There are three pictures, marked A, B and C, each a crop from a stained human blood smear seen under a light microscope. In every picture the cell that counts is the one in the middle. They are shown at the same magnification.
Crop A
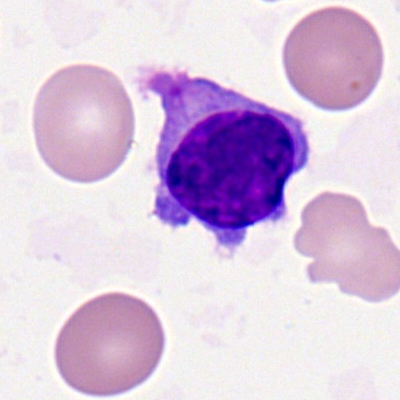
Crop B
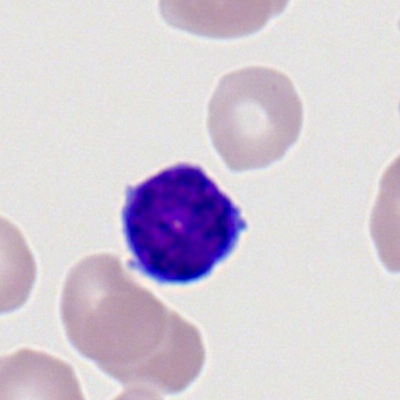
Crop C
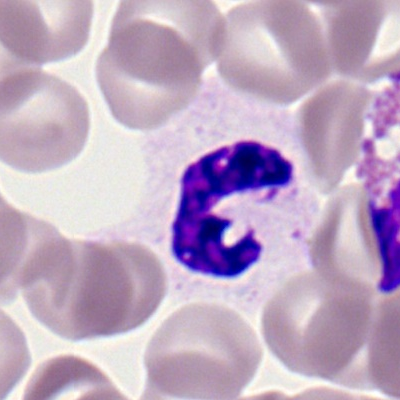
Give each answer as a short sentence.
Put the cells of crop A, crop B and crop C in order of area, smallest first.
The order is B, A, C, beginning with the smallest.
